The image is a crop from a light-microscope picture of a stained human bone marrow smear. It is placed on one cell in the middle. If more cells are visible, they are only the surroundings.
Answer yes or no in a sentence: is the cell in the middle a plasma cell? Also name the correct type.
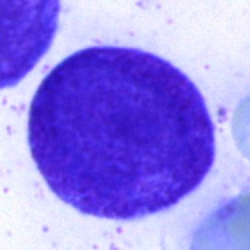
No, the cell at the centre is identified as a promyelocyte, not as a plasma cell.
